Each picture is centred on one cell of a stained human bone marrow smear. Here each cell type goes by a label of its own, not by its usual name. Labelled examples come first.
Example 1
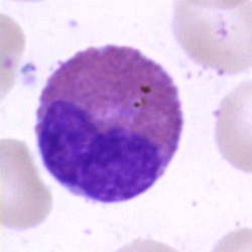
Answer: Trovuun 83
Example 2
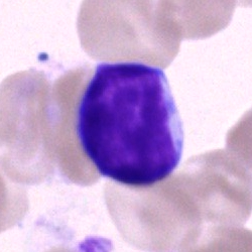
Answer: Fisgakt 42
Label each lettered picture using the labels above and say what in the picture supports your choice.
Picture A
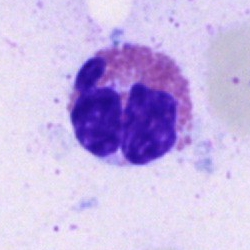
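Trovuun 83. Reason: The cytoplasm is packed with coarse pinkish-orange granules.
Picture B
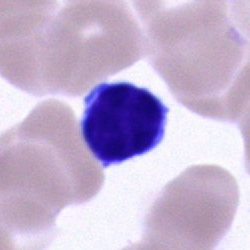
Fisgakt 42. Reason: Cytoplasm is scant, with hardly any rim visible around the nucleus.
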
